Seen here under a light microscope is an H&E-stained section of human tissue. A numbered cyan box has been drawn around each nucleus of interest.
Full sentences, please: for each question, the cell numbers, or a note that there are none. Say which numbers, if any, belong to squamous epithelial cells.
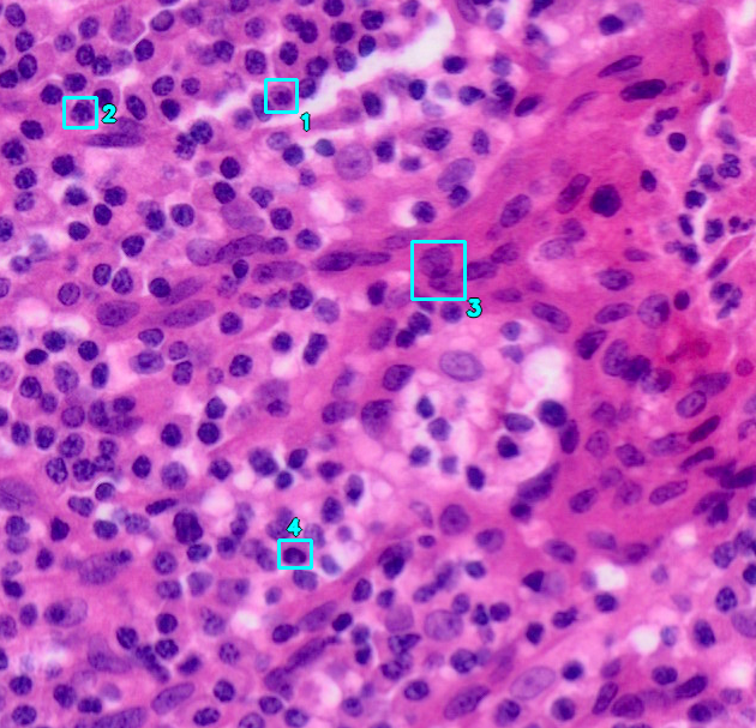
Only cell 3 is a squamous epithelial cell; none of the other numbered cells is.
